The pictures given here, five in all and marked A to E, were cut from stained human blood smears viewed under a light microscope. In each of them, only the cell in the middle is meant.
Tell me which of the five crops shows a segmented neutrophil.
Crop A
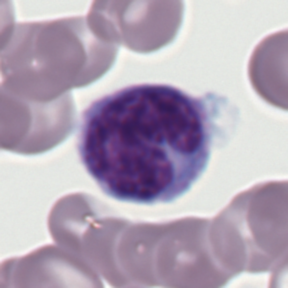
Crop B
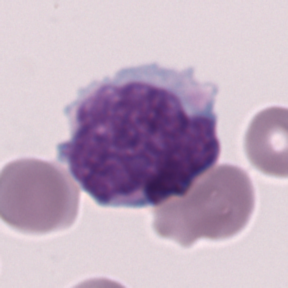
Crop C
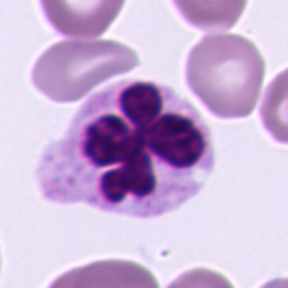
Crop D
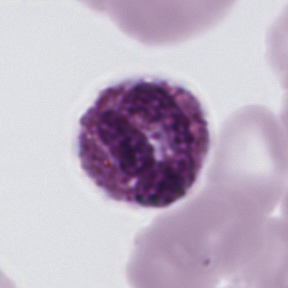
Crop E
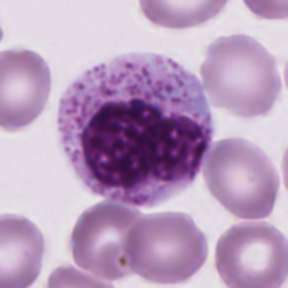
C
